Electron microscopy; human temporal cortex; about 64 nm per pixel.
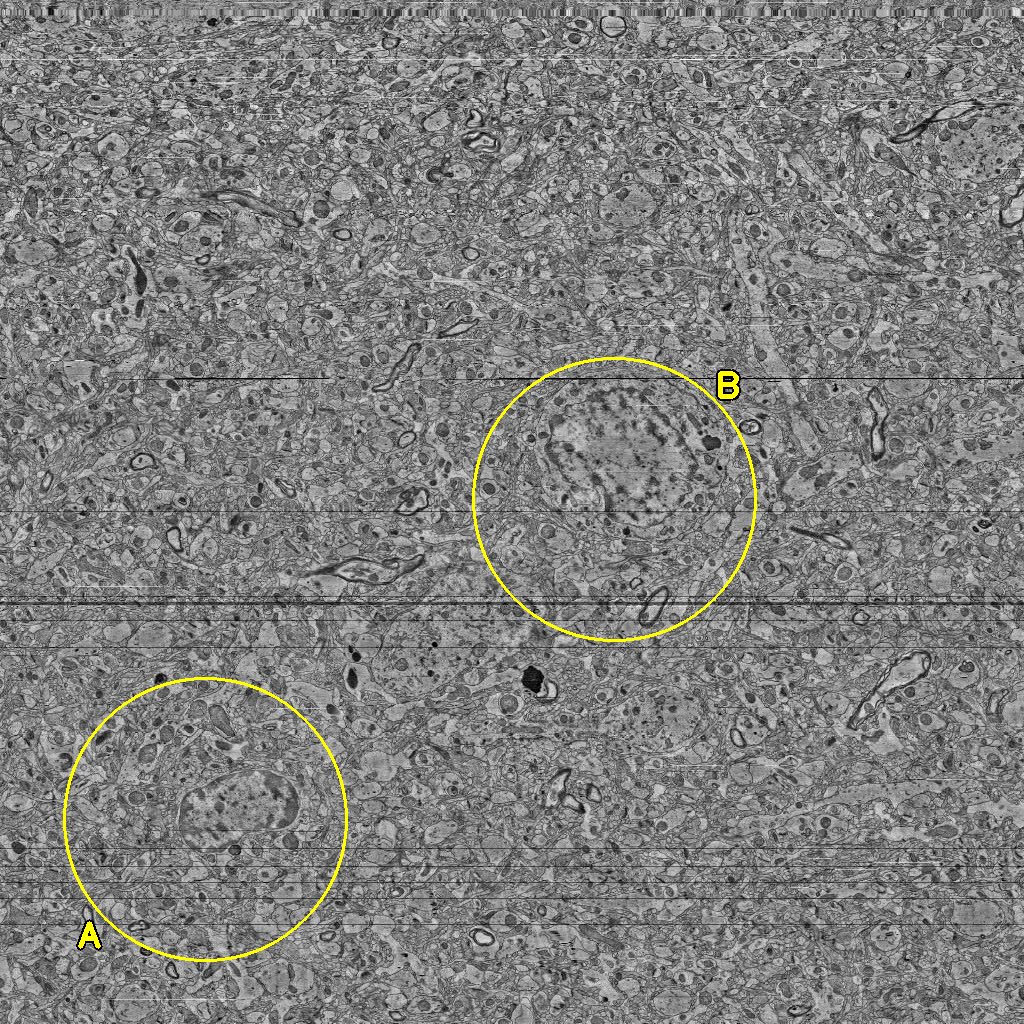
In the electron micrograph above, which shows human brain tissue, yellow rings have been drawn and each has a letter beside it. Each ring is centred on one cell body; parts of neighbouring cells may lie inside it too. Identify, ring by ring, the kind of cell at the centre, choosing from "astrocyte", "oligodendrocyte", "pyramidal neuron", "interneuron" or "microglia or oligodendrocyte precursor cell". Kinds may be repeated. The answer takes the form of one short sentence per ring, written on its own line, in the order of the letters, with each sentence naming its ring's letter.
Inside ring A, at its centre, is a microglial cell or oligodendrocyte precursor cell.
Inside ring B, at its centre, is an interneuron.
